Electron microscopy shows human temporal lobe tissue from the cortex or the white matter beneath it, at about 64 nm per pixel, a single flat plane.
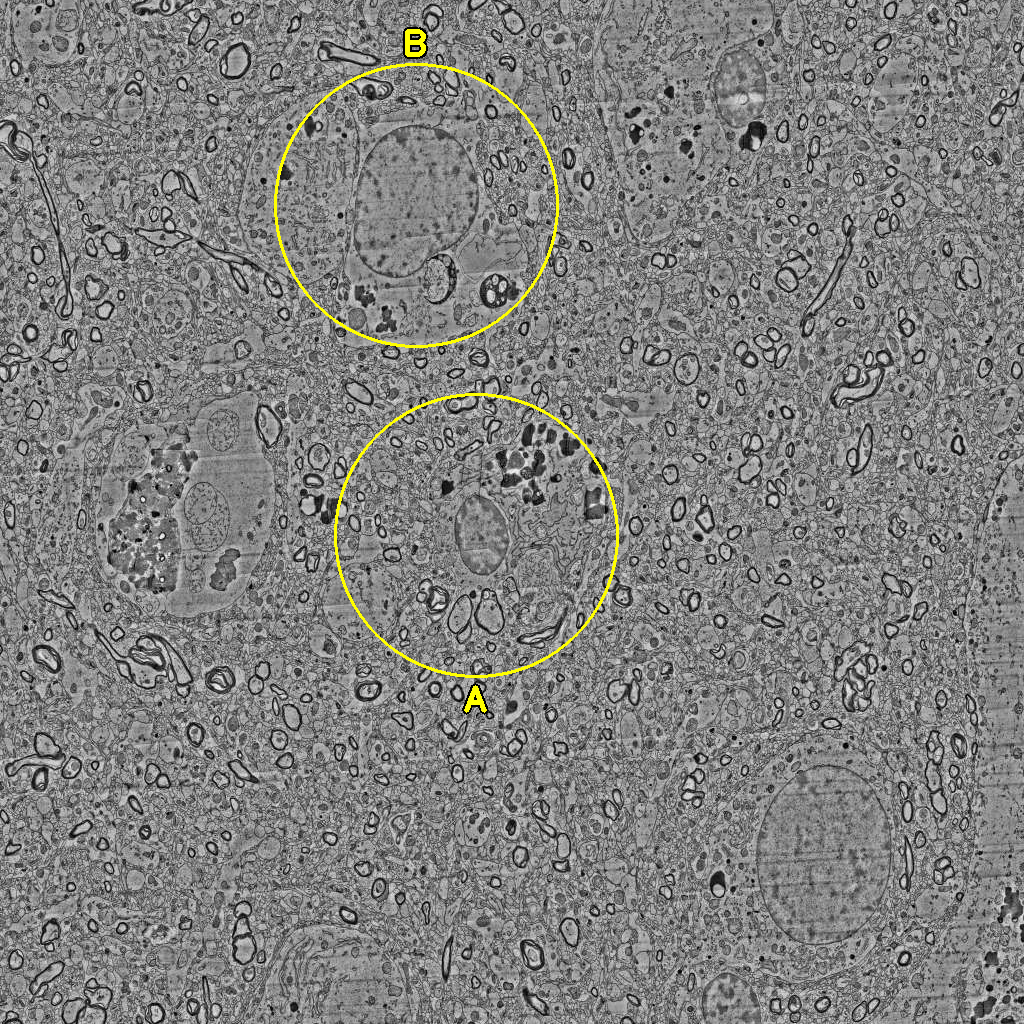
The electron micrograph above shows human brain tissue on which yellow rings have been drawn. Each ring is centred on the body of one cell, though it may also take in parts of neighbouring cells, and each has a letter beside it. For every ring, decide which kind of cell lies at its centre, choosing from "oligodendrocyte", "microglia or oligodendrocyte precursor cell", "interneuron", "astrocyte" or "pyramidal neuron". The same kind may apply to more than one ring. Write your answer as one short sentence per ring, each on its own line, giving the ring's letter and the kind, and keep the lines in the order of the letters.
Ring A is centred on an oligodendrocyte.
Ring B is centred on an astrocyte.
